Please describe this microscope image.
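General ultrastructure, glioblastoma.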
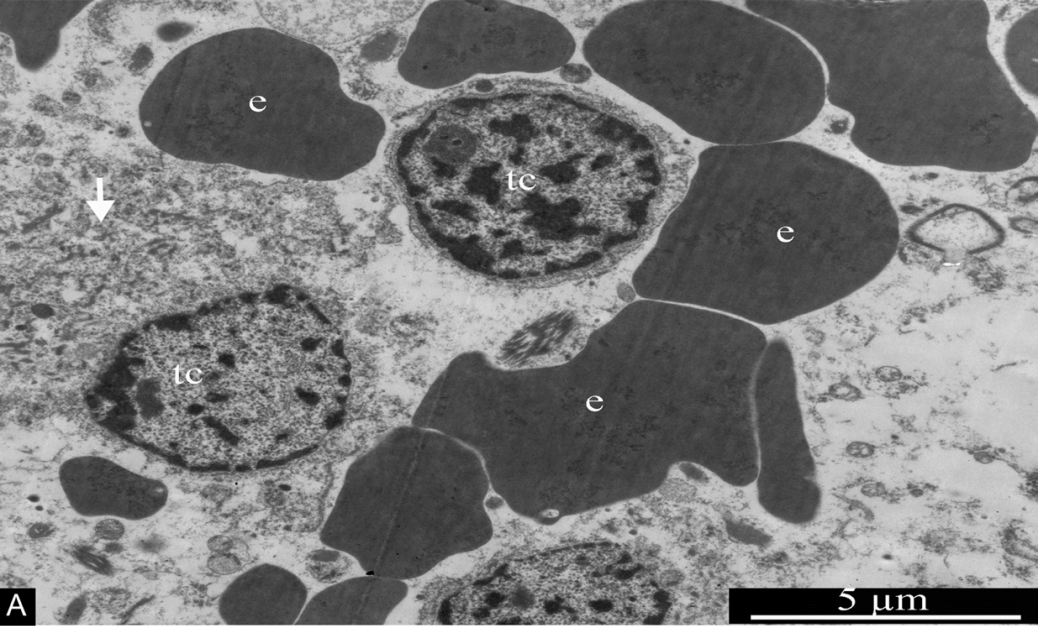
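Tumor tissue with several tumor cells and many erythrocytes lying among them. The tumor cells have large, round to oval nuclei, with coarse dark clumps of heterochromatin, much of it lying against the nuclear envelope, and paler, finely granular chromatin between them. The upper nucleus shows a rounded nucleolus. The erythrocytes are uniformly dense, smooth, dark bodies without nuclei, deformed and pressed against one another. They lie in a cluster close to the tumor cells, and no vessel wall or endothelium surrounds them. To the left, the cytoplasm is loose and disorganized, with scattered membrane fragments and small organelles.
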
